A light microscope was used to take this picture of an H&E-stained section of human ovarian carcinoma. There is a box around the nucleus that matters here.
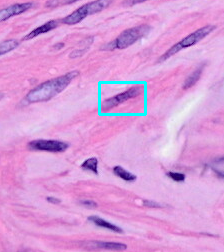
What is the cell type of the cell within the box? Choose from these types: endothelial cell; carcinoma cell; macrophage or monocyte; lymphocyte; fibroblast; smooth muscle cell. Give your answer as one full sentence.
Labelled by cell type, the cell within the box is a smooth muscle cell.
